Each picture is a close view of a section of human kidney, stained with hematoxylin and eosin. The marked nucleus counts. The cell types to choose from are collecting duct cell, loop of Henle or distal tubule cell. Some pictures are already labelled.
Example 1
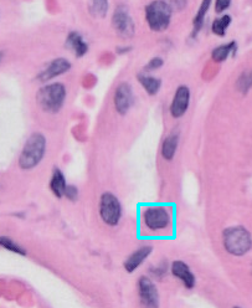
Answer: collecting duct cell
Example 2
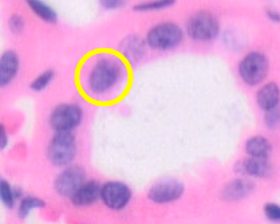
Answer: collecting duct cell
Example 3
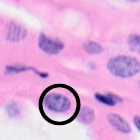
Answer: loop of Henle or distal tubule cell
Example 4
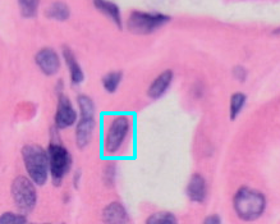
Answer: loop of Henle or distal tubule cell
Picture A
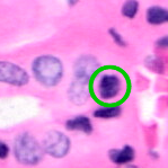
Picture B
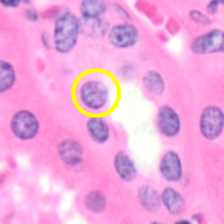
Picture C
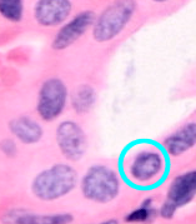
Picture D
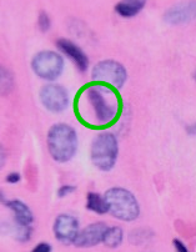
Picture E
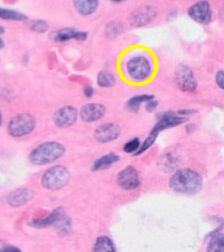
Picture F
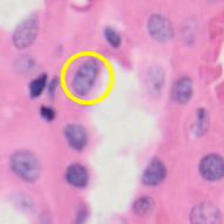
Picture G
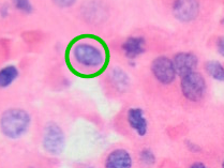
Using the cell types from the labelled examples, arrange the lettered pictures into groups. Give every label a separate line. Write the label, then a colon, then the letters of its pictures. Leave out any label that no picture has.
collecting duct cell: A, B, C, D
loop of Henle or distal tubule cell: E, F, G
